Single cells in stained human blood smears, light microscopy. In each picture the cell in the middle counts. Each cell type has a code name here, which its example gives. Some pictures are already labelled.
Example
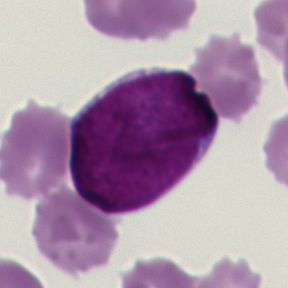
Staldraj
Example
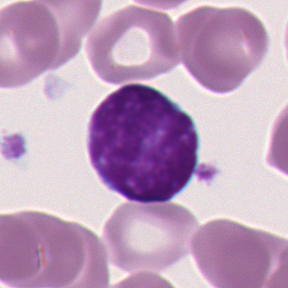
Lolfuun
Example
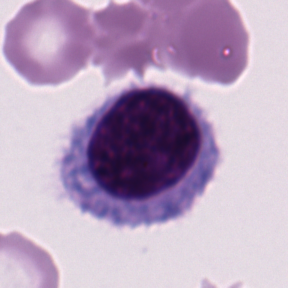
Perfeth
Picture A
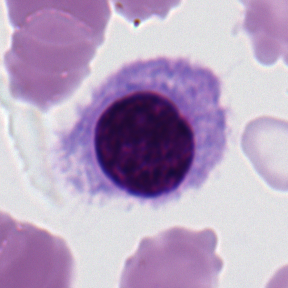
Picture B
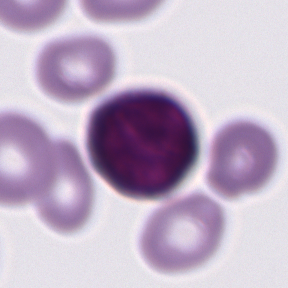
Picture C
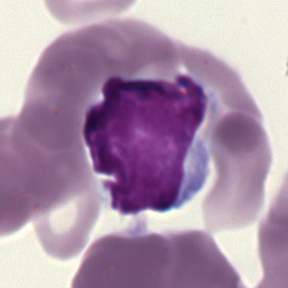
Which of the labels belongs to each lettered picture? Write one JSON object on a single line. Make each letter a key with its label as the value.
{"A": "Perfeth", "B": "Staldraj", "C": "Lolfuun"}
